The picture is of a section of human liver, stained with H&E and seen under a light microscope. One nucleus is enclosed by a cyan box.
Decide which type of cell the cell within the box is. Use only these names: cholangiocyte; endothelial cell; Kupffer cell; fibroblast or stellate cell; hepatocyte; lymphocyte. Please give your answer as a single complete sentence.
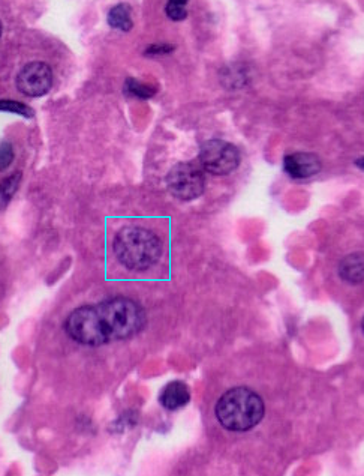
In short, the cell within the box on this section is a hepatocyte.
